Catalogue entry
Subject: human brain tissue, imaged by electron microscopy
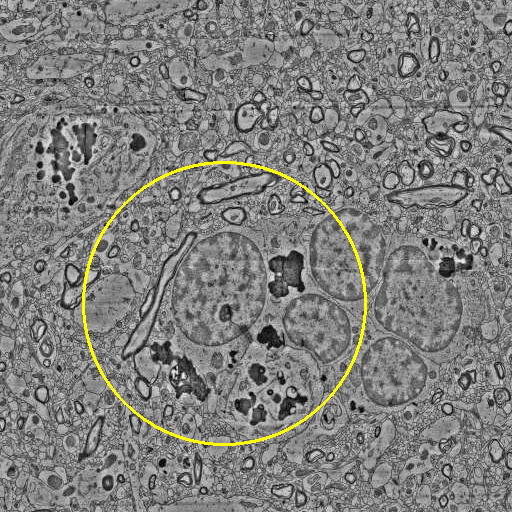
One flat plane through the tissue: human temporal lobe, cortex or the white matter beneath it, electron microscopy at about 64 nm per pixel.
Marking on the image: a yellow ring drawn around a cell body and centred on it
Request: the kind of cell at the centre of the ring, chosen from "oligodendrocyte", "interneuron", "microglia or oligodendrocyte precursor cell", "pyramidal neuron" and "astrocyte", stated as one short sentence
The ring has an oligodendrocyte at its centre.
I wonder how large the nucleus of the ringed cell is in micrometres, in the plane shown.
The ringed cell's nucleus measures approximately 7 by 6 micrometres in this plane.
